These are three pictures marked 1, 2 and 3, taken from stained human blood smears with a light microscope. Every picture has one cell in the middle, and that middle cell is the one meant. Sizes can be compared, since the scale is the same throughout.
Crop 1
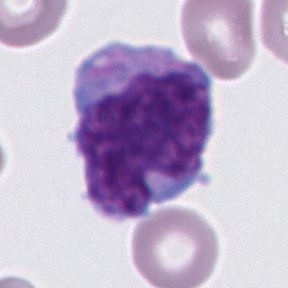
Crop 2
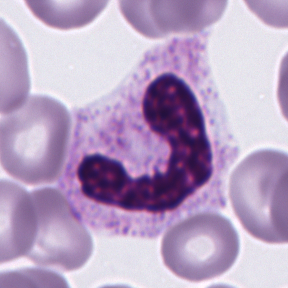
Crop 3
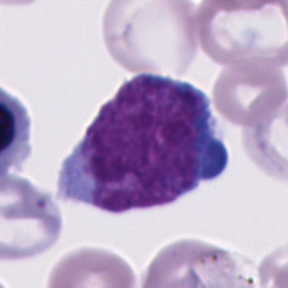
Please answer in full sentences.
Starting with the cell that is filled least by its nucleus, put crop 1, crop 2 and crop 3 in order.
The least filled comes first: 2, 1, 3.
